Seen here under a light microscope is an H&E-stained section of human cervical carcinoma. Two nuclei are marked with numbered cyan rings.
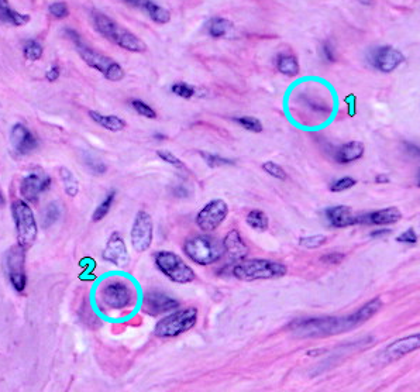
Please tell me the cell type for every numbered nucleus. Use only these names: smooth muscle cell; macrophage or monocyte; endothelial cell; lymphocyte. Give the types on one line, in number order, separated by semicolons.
smooth muscle cell; endothelial cell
